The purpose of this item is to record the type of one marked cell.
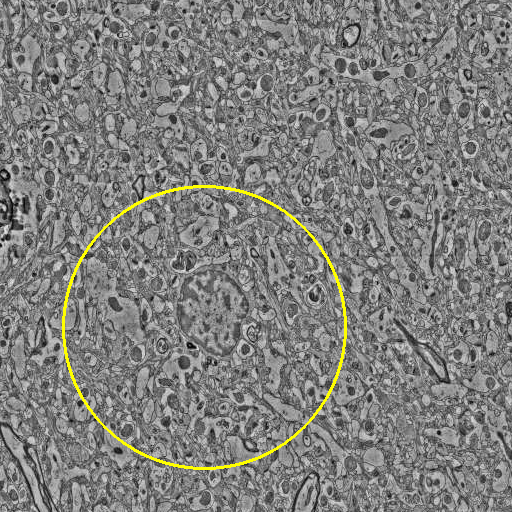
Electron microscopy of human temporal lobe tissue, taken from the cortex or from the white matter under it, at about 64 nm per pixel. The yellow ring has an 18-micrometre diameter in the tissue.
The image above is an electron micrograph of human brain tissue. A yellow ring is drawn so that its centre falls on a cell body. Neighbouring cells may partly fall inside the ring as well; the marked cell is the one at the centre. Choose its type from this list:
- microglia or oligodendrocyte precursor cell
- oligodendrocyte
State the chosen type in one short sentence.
What the ring marks here is an oligodendrocyte.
